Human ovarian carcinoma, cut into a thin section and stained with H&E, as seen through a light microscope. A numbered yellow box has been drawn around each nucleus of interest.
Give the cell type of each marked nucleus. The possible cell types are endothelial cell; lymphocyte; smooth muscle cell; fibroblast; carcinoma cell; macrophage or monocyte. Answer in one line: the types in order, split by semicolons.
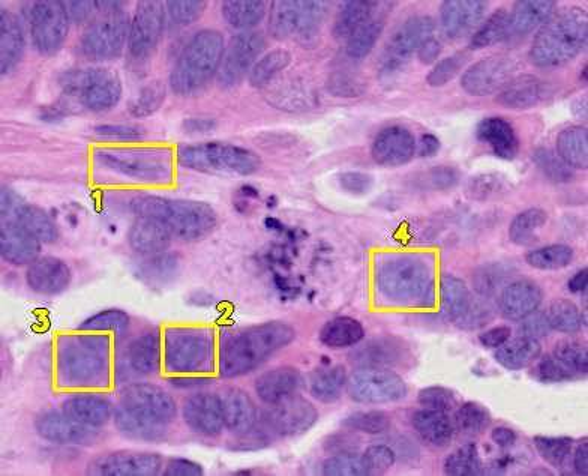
fibroblast; carcinoma cell; carcinoma cell; carcinoma cell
